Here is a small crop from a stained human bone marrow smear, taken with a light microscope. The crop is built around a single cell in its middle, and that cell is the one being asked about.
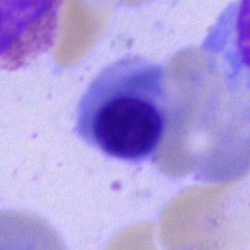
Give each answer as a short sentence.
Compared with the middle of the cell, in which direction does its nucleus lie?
The nucleus is pushed toward the bottom of the cell.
